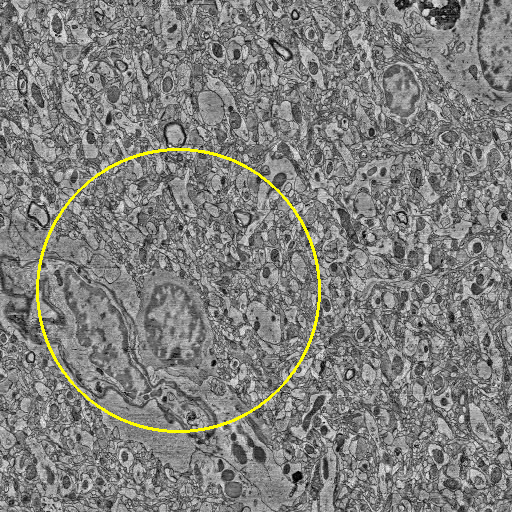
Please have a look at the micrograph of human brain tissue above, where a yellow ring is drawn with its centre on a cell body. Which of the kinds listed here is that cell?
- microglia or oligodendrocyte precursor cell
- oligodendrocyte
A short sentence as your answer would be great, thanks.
At the centre of the ring sits an oligodendrocyte.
